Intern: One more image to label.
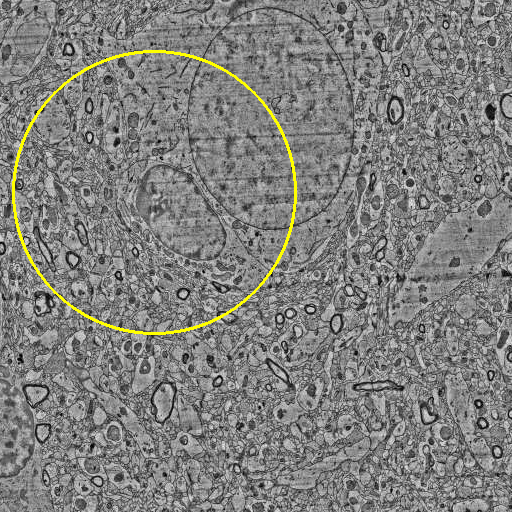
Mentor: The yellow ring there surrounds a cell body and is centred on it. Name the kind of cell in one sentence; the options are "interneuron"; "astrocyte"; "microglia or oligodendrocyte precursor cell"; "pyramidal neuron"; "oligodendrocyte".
The ring marks the cell body of a microglial cell or oligodendrocyte precursor cell.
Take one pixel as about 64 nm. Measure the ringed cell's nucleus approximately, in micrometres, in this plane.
Roughly 7 micrometres by 4 micrometres, in this plane.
